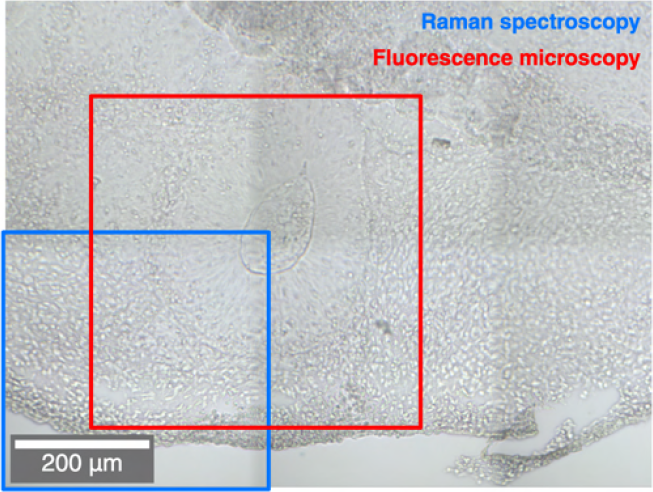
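The tissue is made of many small, closely packed round to oval cell profiles that give it a fine granular texture. Near the middle lies an oval structure with a thin, sharply drawn rim, and the cells around it look more tightly arranged. The lower edge of the section runs across the field with a denser, darker border, and at the bottom right the tissue is torn and folded.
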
